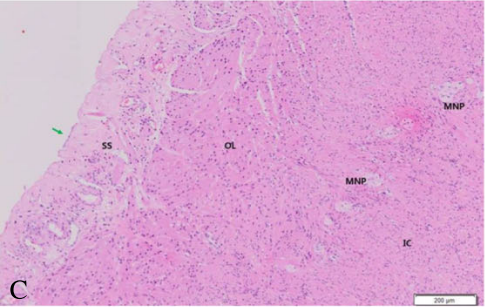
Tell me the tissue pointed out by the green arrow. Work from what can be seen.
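Serosa. The arrow points at the thin outermost lining at the free edge of the tissue. Beneath it lies loose tissue with small vessels, then muscle.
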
